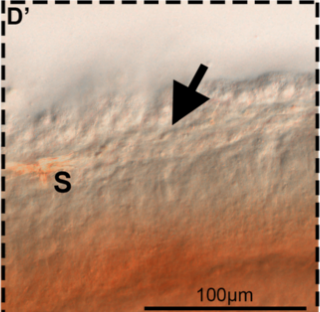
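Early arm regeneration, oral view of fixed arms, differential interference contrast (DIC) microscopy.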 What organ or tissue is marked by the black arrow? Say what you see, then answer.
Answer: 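The arrow points to a pale band of tissue just beneath the outer surface.
Answer: dermal layer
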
